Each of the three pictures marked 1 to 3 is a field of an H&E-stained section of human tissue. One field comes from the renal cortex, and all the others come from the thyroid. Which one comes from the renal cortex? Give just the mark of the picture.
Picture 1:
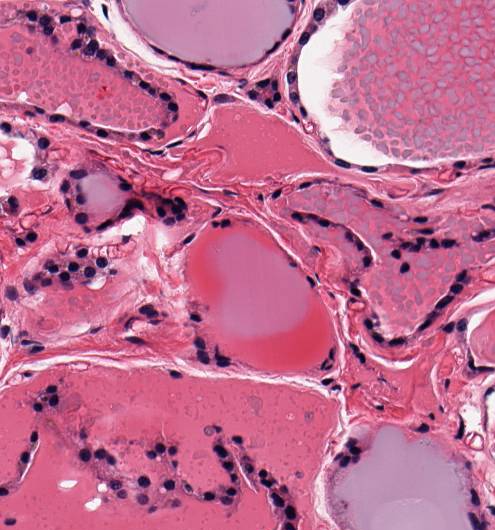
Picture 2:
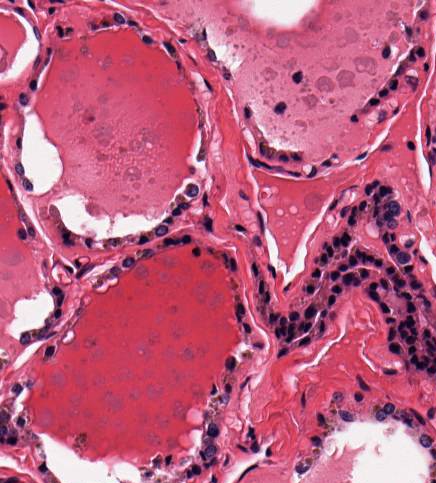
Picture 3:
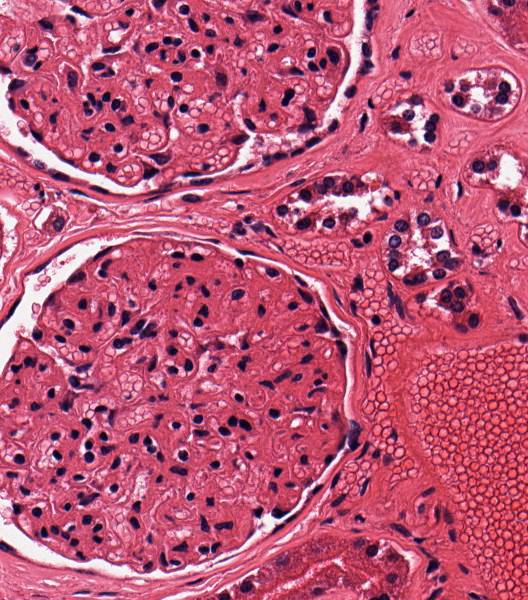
3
